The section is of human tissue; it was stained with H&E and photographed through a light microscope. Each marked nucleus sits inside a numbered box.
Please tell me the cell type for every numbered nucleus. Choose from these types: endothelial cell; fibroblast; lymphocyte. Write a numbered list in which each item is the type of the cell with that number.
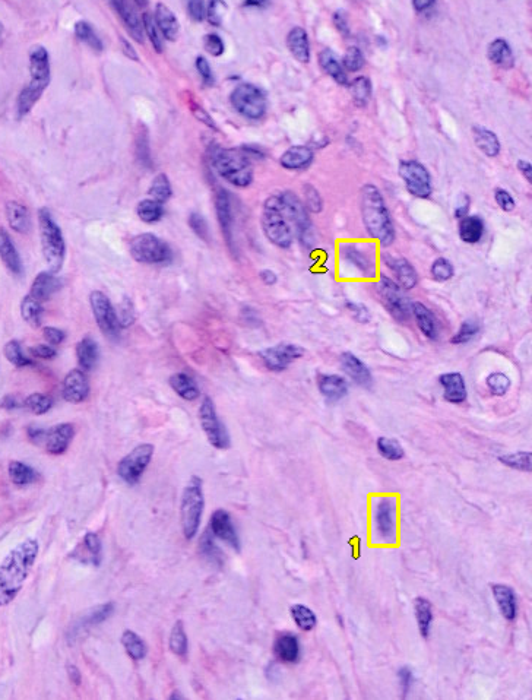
1. fibroblast
2. endothelial cell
